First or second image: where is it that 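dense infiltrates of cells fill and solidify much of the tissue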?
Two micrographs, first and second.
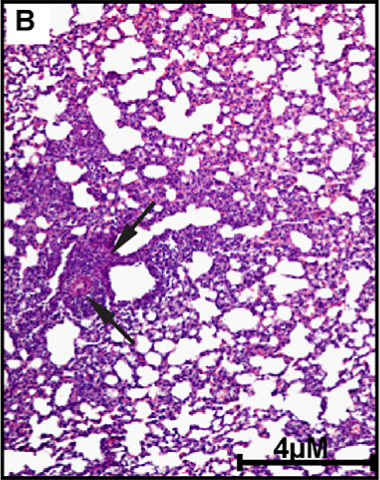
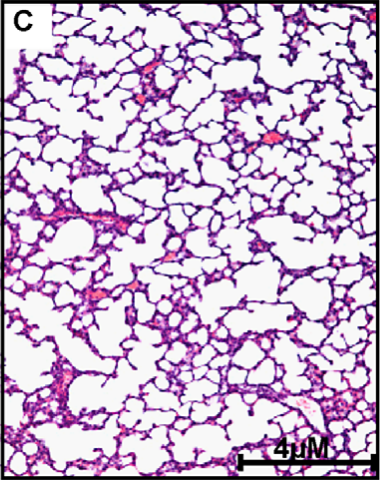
The first image.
